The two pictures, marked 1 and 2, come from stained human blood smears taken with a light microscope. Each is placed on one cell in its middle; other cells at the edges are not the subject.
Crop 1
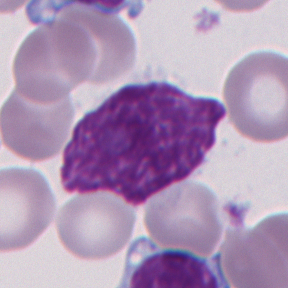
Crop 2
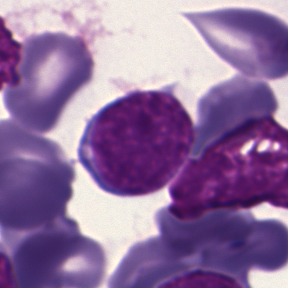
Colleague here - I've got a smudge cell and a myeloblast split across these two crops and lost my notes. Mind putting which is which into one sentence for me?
Crop 1 is a smudge cell, with crop 2 being a myeloblast.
